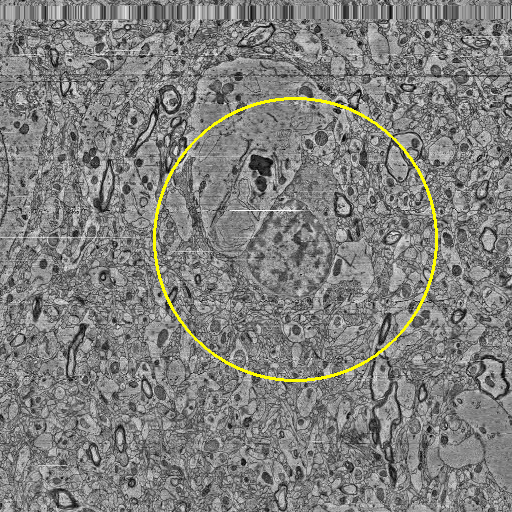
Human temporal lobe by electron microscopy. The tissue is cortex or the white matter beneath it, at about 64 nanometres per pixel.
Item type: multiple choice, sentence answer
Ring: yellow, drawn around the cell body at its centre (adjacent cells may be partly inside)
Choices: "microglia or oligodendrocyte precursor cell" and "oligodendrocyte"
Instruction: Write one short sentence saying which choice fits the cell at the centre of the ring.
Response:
This ring is drawn around an oligodendrocyte.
